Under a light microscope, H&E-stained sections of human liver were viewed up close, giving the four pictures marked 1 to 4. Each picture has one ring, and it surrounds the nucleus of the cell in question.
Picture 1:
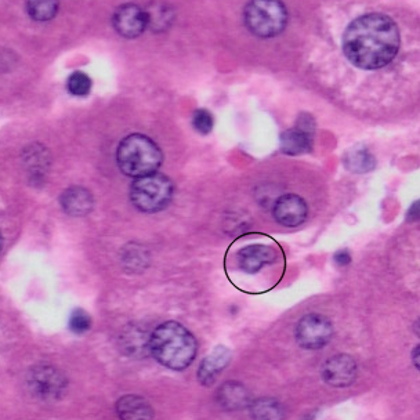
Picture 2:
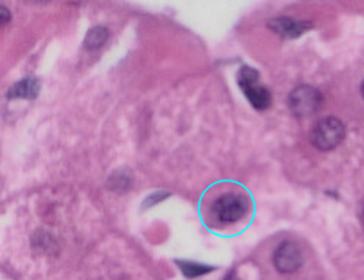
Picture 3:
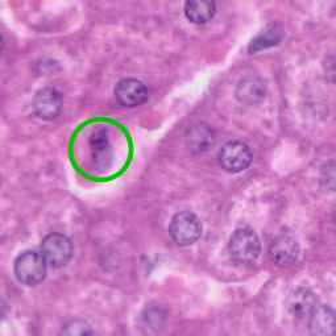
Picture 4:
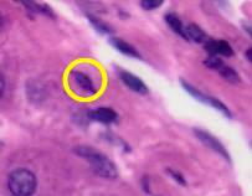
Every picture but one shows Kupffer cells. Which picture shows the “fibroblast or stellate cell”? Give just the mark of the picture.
4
